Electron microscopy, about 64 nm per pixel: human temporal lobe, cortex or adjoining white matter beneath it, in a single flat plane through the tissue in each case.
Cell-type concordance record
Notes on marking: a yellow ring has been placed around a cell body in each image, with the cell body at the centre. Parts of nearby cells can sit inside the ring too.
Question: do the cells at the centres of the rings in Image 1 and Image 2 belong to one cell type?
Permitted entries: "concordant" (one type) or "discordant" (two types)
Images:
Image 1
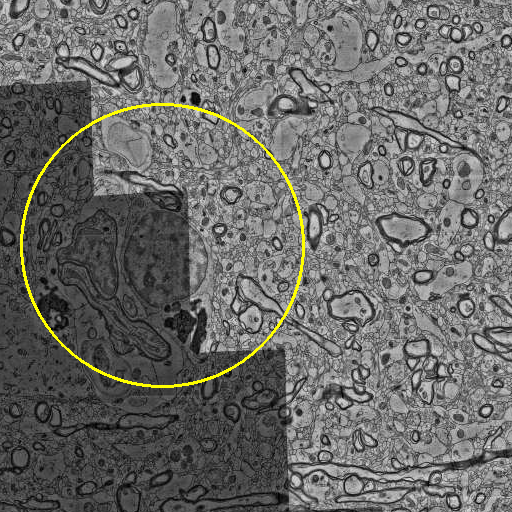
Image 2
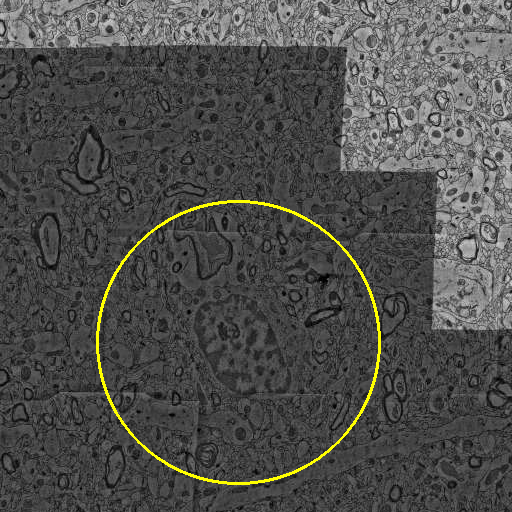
concordant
